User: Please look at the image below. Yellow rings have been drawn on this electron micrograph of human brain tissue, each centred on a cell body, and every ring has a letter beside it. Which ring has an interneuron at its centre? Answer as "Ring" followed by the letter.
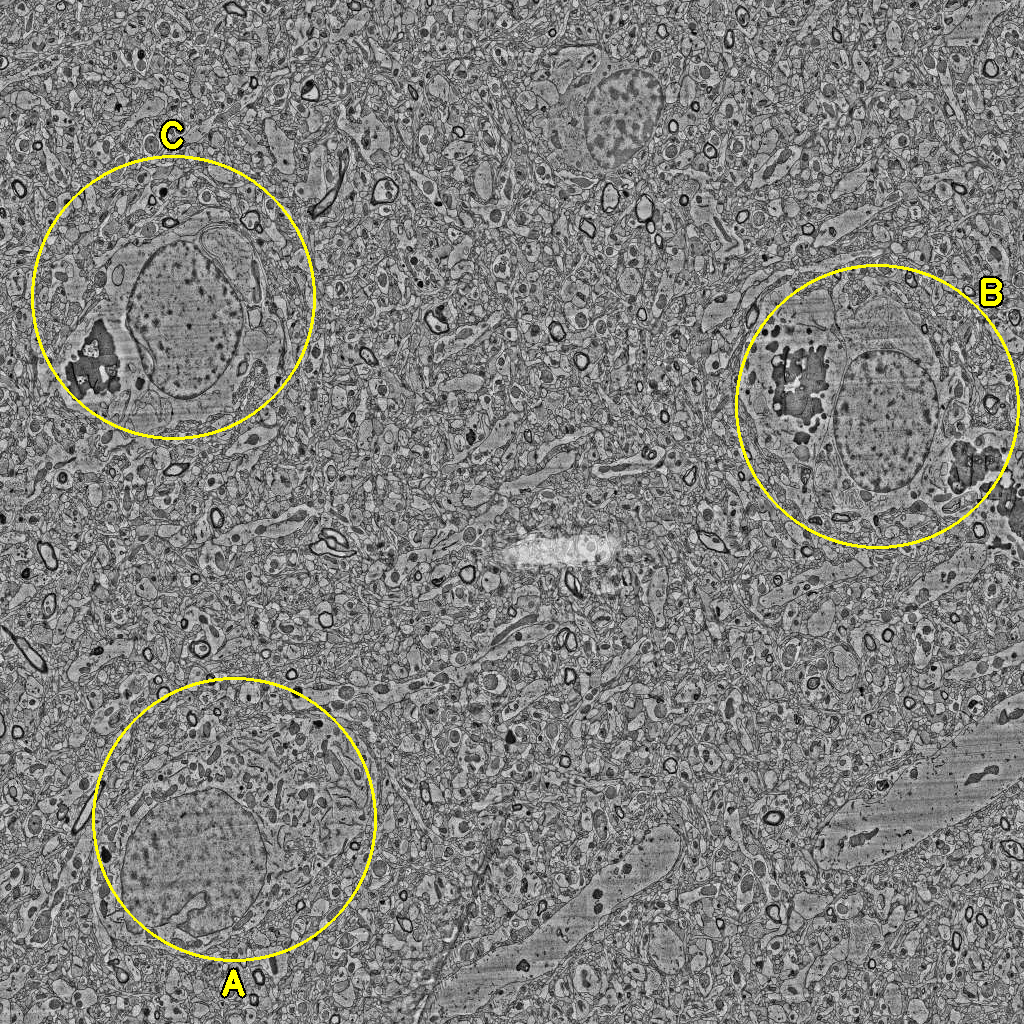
Ring A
